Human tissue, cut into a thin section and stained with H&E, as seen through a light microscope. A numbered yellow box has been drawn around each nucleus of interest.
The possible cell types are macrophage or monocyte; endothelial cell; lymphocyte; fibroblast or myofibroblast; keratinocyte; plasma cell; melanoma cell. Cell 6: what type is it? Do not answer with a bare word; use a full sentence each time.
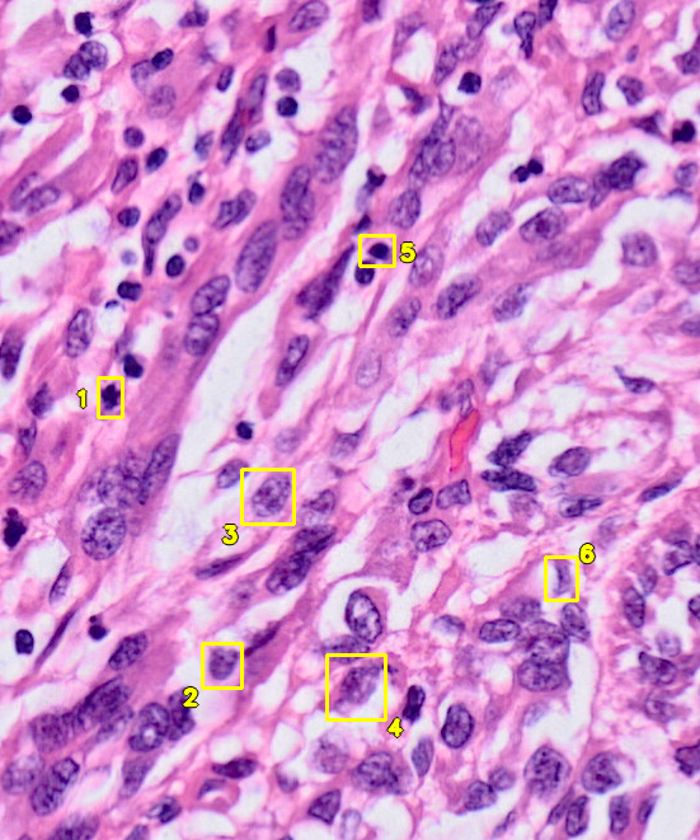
Cell 6, as marked in the section, is a melanoma cell.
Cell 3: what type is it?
Number 3 among the marked cells is a melanoma cell.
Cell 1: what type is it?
In this section, the cell tagged 1 is a lymphocyte.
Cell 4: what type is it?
The marked nucleus 4 is that of a melanoma cell.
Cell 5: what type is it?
The cell that is numbered 5 is a lymphocyte.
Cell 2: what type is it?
Of the numbered cells, the one labelled 2 is a melanoma cell.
